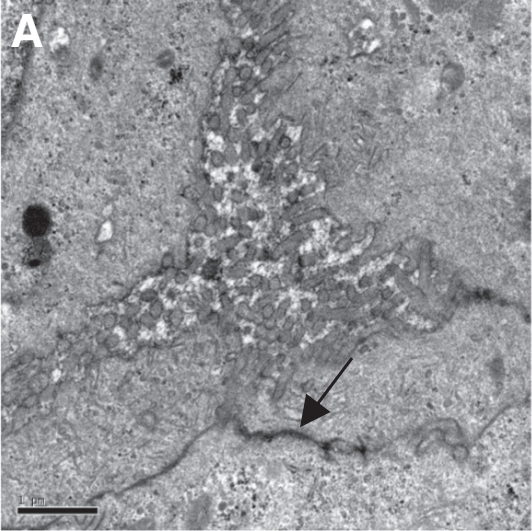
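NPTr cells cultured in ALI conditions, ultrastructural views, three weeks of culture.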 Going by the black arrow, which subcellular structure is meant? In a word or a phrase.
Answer: tight junction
